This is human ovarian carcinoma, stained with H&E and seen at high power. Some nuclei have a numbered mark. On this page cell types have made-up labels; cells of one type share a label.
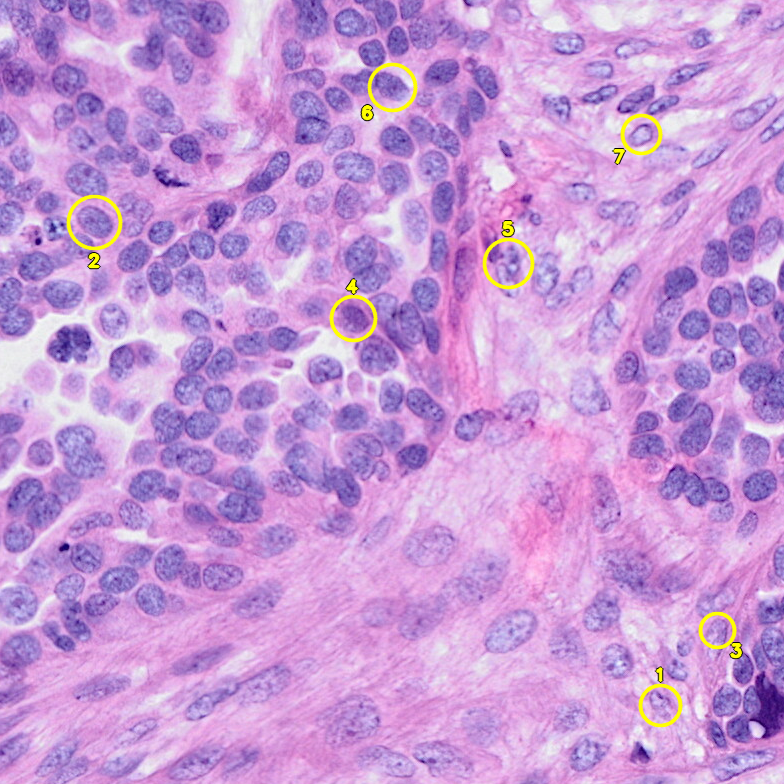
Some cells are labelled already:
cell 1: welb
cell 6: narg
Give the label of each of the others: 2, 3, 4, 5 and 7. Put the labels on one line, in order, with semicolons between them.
narg; welb; narg; welb; welb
